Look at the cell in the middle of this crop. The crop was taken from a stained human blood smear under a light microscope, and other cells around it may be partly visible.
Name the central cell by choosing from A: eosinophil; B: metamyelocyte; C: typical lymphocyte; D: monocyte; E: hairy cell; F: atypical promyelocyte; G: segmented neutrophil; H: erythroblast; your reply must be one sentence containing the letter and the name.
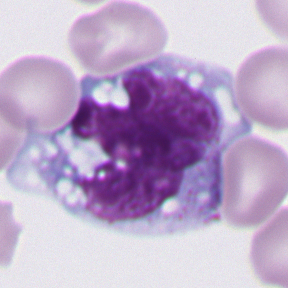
The right choice is option D: the cell in the middle is a monocyte.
